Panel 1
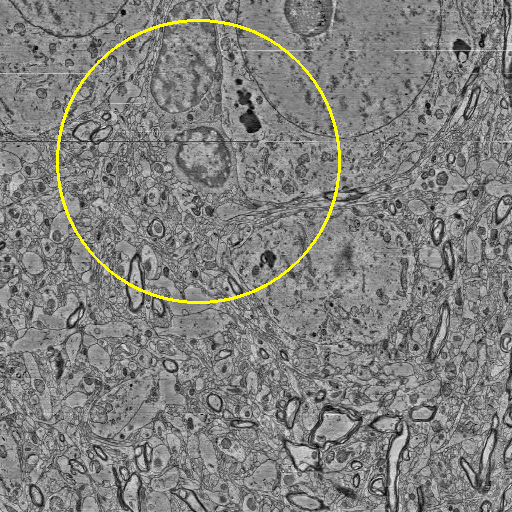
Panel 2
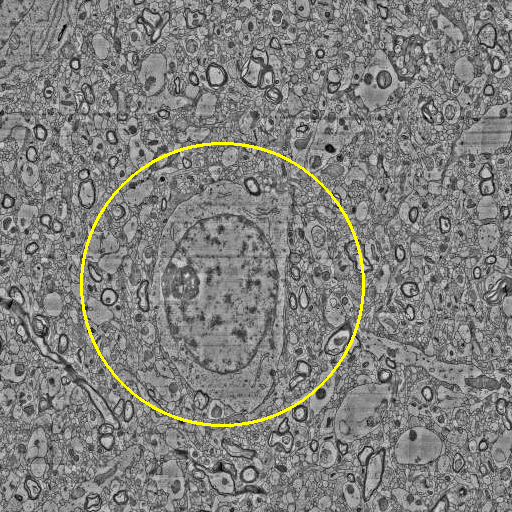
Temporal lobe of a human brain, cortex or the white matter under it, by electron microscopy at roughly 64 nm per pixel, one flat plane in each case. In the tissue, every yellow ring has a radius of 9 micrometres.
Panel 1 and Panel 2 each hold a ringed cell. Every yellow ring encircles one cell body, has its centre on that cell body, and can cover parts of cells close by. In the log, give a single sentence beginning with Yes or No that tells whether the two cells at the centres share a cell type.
No, in Panel 1 and Panel 2 the centred cells are of two cell types.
